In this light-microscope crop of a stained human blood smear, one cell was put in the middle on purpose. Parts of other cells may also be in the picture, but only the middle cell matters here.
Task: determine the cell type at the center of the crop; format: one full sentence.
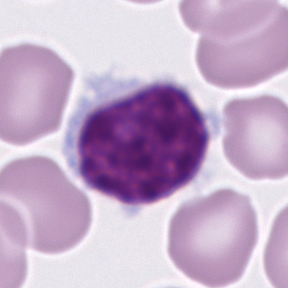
The central cell in this smear crop is a hairy cell.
